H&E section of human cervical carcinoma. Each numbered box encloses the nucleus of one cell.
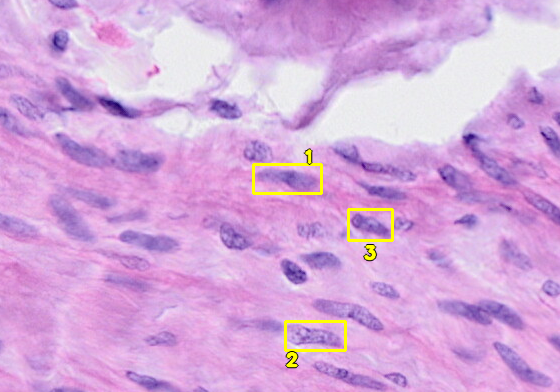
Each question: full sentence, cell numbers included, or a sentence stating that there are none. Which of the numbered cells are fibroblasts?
Where the numbered cells are concerned, only number 2 is a fibroblast.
